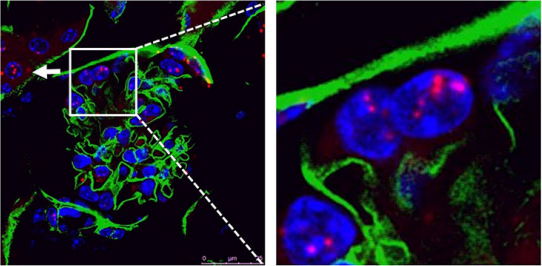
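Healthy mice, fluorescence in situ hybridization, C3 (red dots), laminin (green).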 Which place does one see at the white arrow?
Tubular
